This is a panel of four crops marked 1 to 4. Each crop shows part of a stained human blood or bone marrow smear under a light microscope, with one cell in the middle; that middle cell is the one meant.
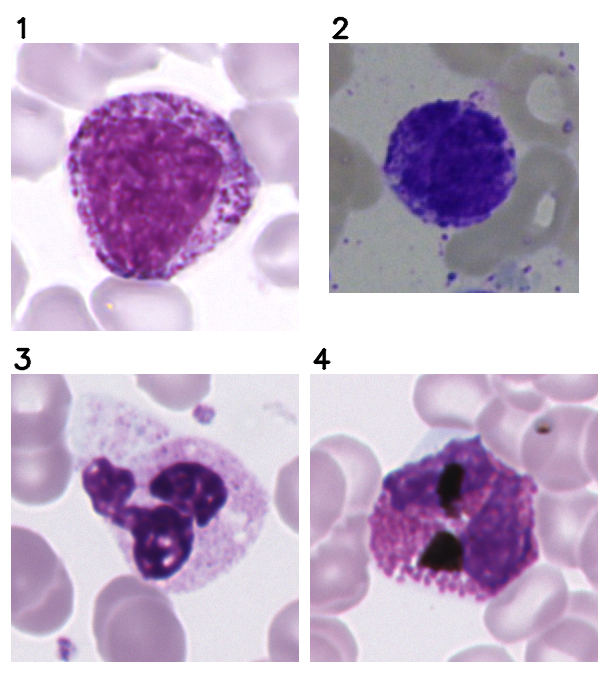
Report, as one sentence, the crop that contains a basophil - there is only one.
Crop 2 is the crop that shows a basophil in its middle.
